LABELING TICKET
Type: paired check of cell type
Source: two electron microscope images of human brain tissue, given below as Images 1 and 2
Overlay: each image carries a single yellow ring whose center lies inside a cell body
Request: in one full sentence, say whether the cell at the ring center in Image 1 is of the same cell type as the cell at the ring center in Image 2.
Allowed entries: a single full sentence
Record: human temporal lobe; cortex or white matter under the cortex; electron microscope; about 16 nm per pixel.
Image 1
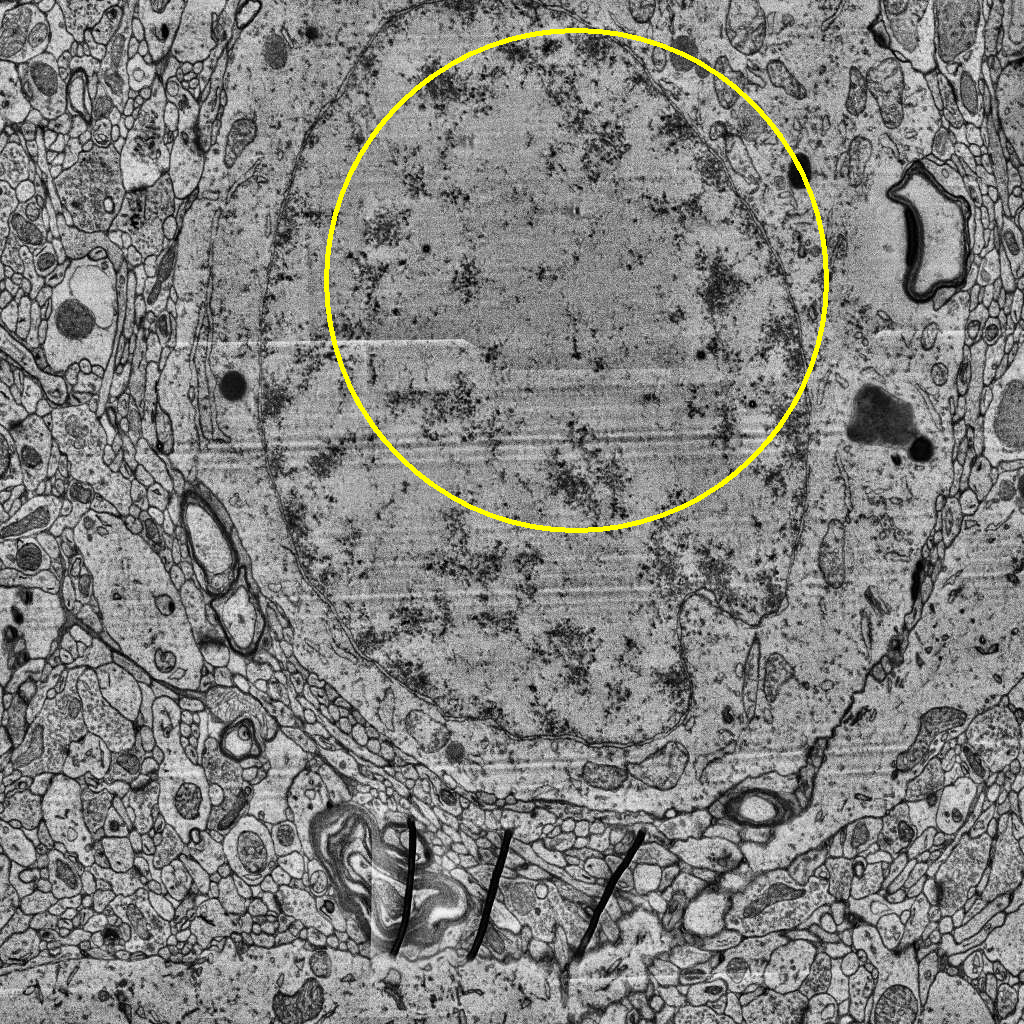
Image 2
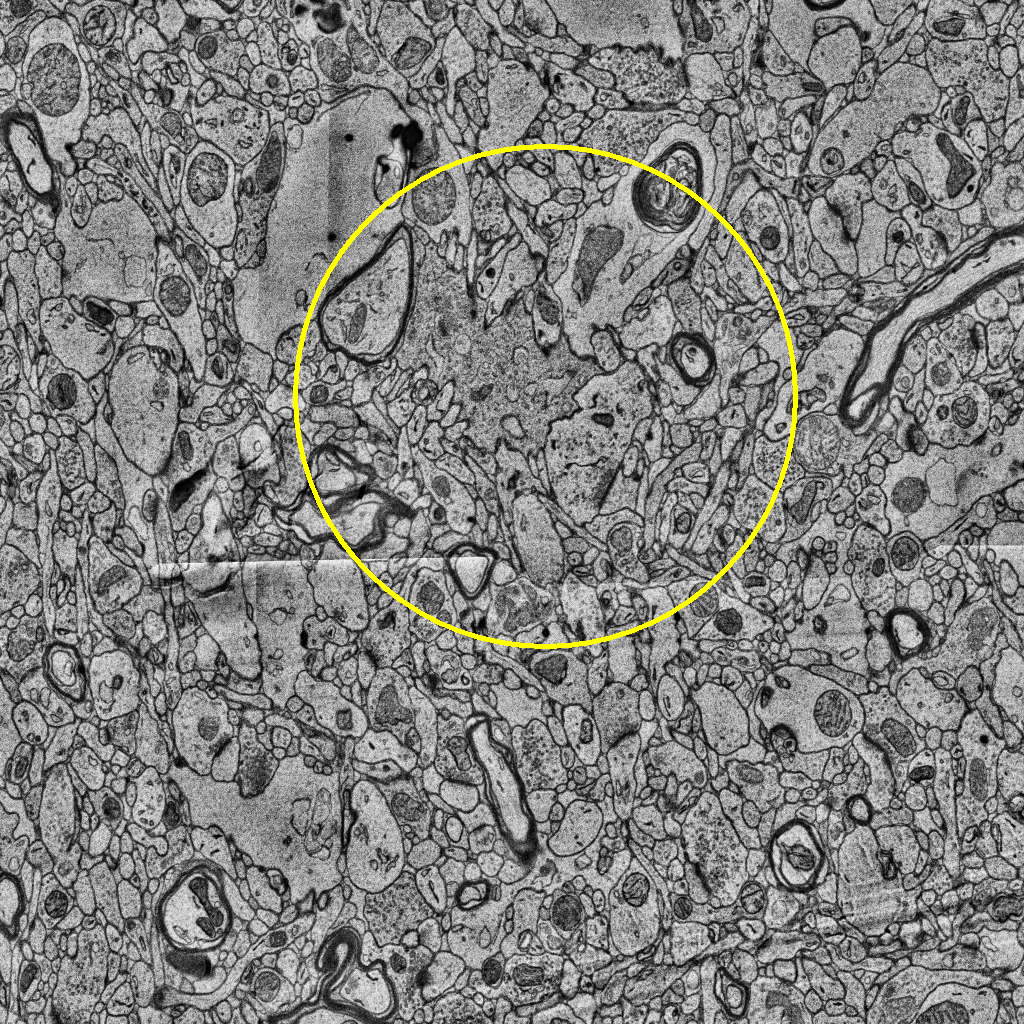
No, the cells at the ring centers of Image 1 and Image 2 are of two types.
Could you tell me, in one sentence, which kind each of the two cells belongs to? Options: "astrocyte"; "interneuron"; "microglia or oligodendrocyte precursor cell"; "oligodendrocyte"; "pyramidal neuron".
The first picture has an interneuron at its ring centre, and the second has an oligodendrocyte.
